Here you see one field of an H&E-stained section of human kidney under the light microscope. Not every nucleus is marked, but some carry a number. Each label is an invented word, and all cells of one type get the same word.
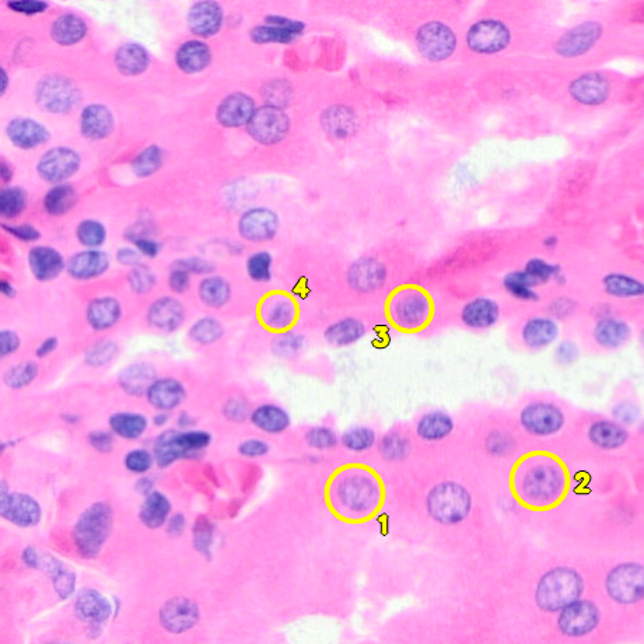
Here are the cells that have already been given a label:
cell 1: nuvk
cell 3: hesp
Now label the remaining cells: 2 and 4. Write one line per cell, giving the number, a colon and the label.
2: nuvk
4: hesp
